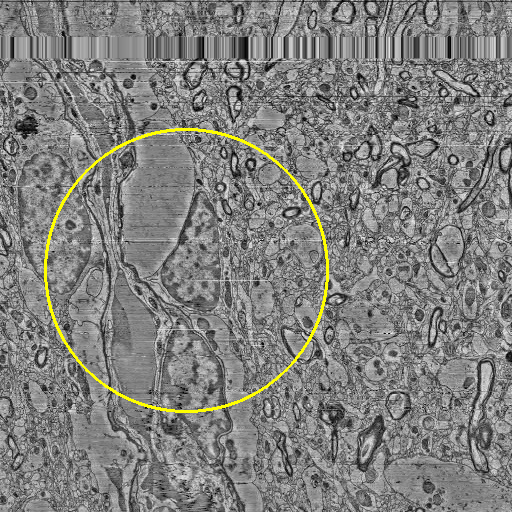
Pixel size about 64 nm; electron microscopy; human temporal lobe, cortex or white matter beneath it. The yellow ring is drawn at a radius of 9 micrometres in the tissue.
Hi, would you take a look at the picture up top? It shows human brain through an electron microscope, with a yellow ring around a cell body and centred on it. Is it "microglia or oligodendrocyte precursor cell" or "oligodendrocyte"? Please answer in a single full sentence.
The best fit for the cell in the middle of the ring is a microglial cell or oligodendrocyte precursor cell, I reckon.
